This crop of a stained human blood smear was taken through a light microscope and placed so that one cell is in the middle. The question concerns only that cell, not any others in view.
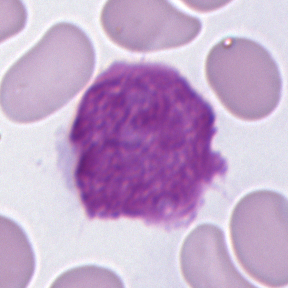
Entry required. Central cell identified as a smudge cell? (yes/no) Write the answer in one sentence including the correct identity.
Yes, the cell at the centre is designated a smudge cell.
